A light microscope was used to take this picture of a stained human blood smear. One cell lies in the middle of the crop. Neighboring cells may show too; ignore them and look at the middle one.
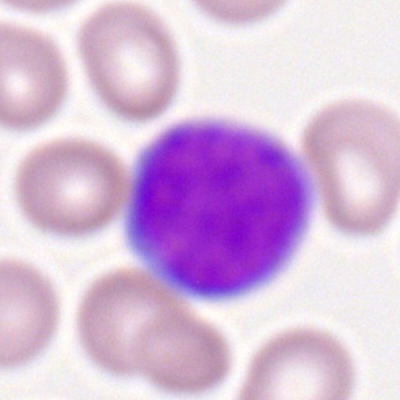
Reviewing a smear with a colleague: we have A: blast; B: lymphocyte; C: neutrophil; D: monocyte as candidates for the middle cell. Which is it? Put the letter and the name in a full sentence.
The cell placed in the middle is a blast; option A is correct.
